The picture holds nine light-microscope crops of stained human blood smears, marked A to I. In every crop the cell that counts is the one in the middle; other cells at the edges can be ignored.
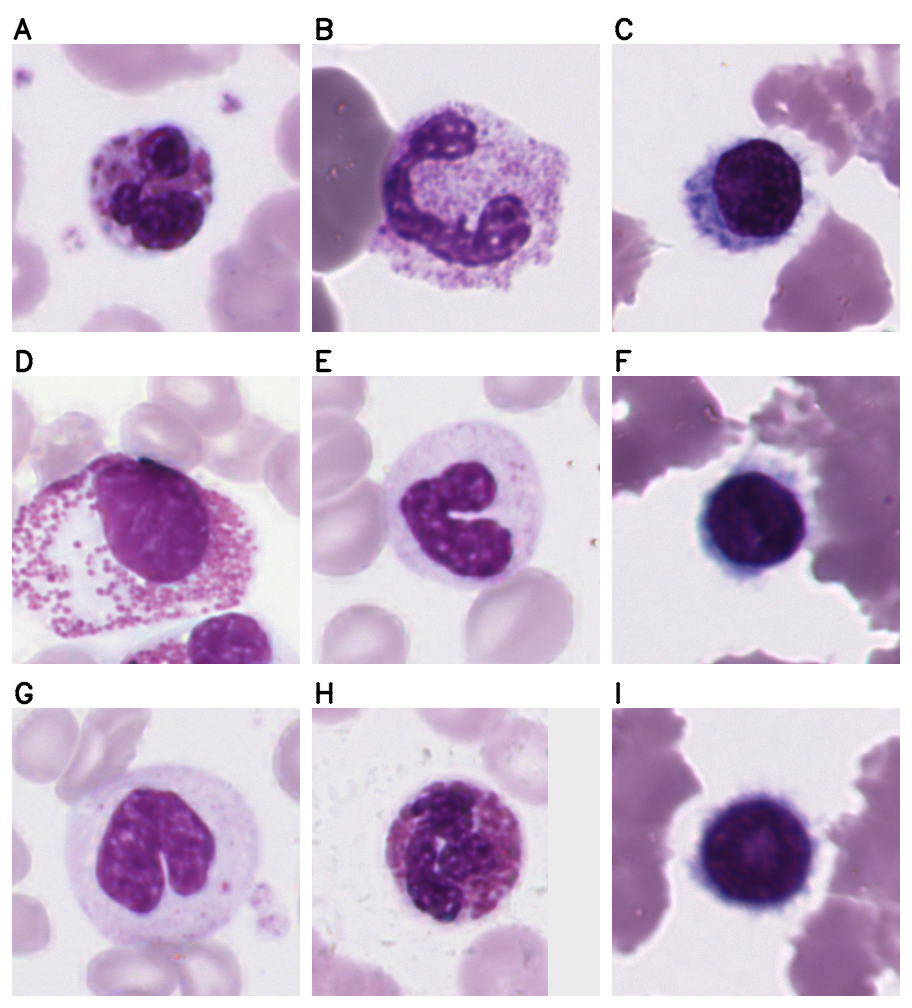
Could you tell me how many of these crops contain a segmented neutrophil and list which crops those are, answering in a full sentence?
Crop B is the sole crop in the set that contains a segmented neutrophil.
